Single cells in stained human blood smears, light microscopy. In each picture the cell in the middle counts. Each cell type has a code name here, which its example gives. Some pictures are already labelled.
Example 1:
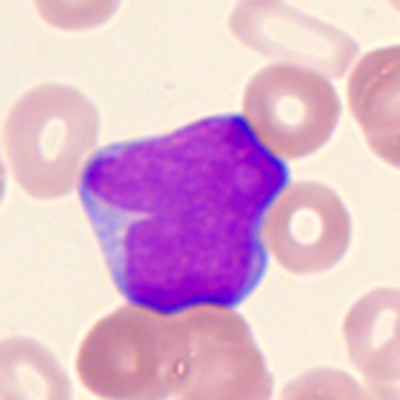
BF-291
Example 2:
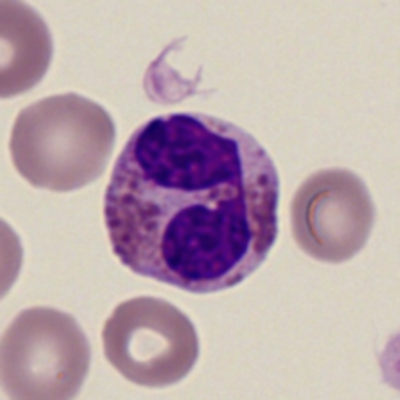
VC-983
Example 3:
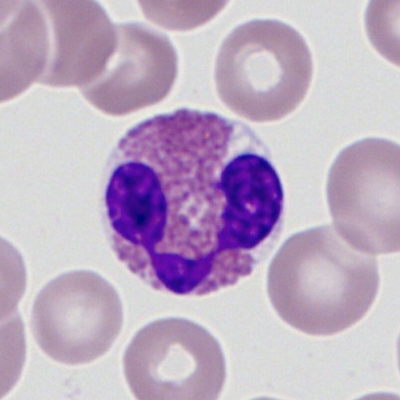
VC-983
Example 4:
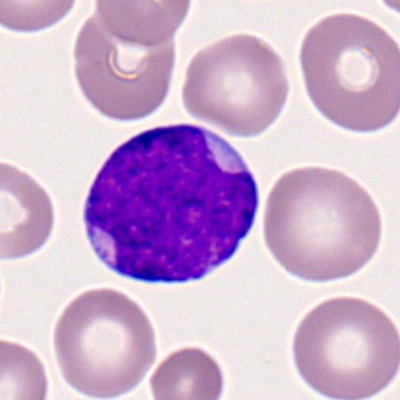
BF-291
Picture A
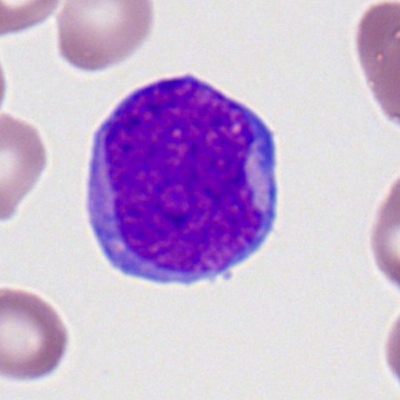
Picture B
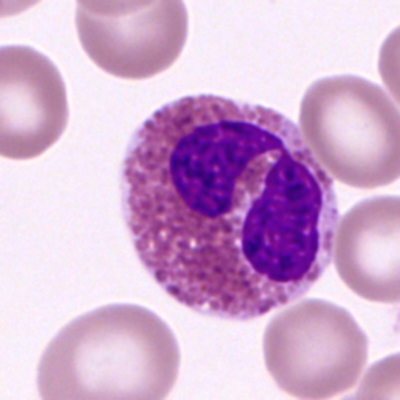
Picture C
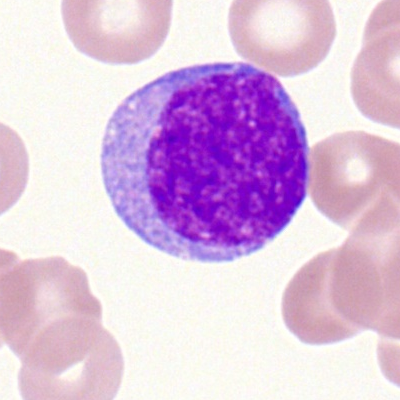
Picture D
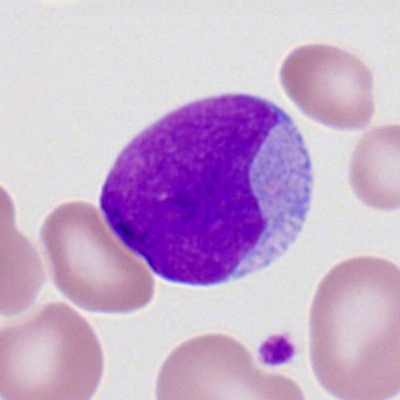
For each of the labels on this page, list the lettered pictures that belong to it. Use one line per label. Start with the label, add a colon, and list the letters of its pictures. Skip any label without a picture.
BF-291: A, C, D
VC-983: B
